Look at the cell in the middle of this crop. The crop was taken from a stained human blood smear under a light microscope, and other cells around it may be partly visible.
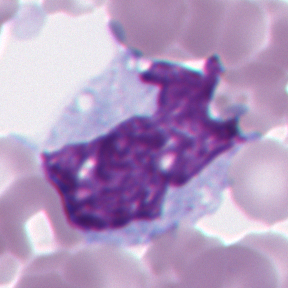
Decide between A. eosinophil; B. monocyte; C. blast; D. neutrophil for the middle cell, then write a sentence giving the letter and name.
The correct option here is B; the middle cell is a monocyte.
